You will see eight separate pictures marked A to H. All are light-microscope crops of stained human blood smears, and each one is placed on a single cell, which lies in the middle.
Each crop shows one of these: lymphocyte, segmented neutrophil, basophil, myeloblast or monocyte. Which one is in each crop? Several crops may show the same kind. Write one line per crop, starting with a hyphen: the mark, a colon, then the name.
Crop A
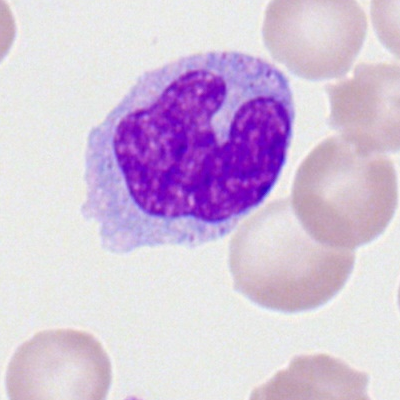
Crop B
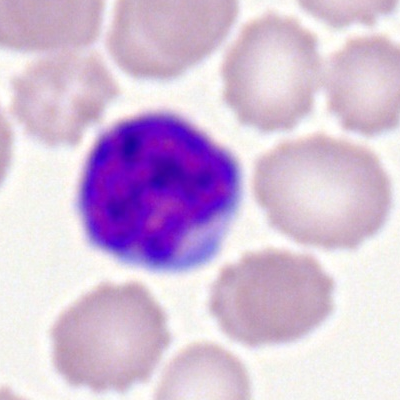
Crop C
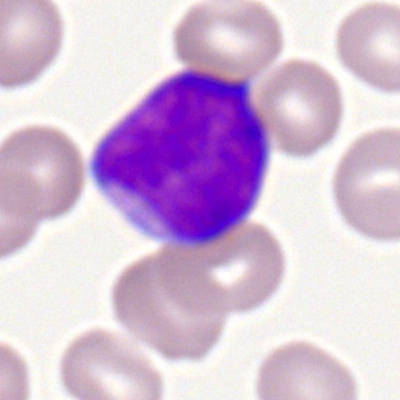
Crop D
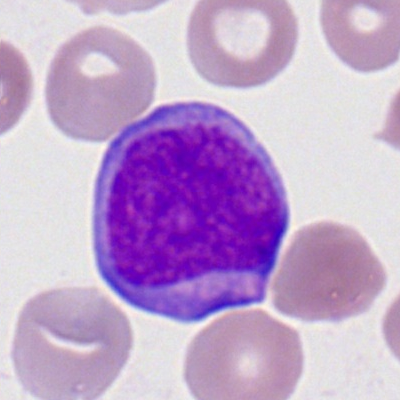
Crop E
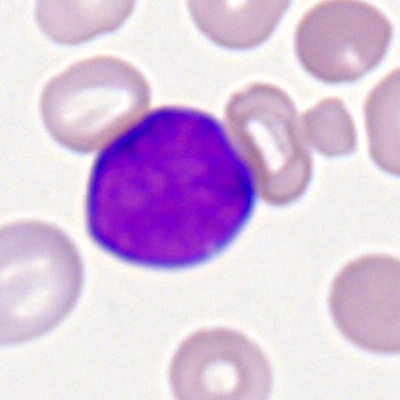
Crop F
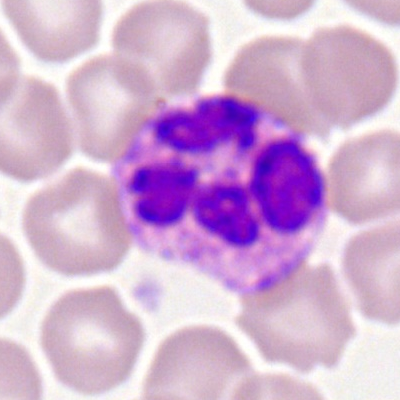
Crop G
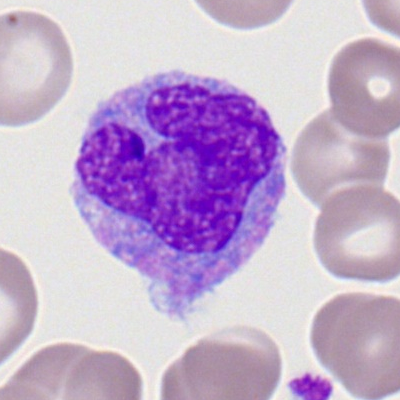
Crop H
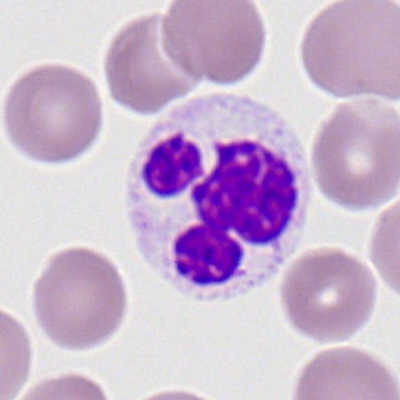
- A: monocyte
- B: lymphocyte
- C: myeloblast
- D: myeloblast
- E: myeloblast
- F: basophil
- G: monocyte
- H: segmented neutrophil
